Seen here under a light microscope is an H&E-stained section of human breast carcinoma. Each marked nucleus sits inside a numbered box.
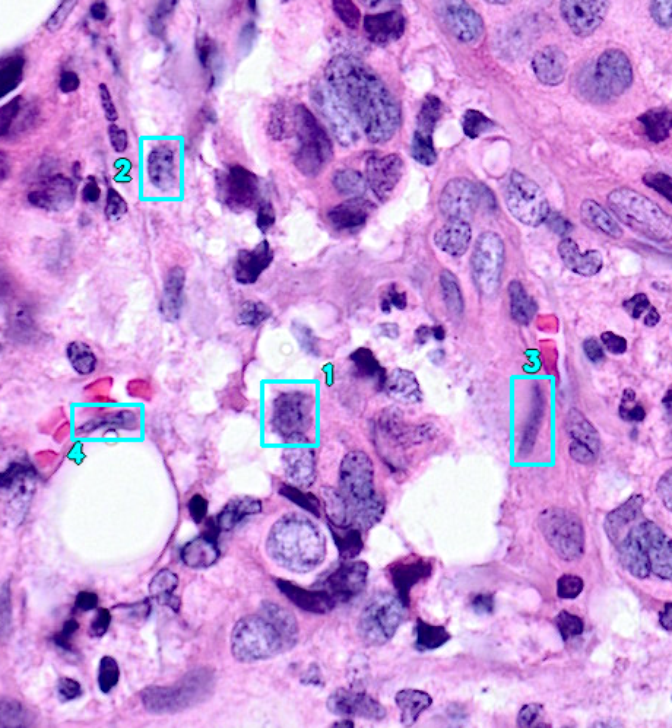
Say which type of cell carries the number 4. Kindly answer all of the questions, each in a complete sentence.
Classified as an endothelial cell is the cell with the number 4.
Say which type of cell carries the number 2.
Regarding cell 2, this one is a macrophage, monocyte or dendritic cell.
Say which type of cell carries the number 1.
In the tissue shown, cell 1 is a carcinoma cell.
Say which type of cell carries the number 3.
In this section, the cell numbered 3 is an endothelial cell.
